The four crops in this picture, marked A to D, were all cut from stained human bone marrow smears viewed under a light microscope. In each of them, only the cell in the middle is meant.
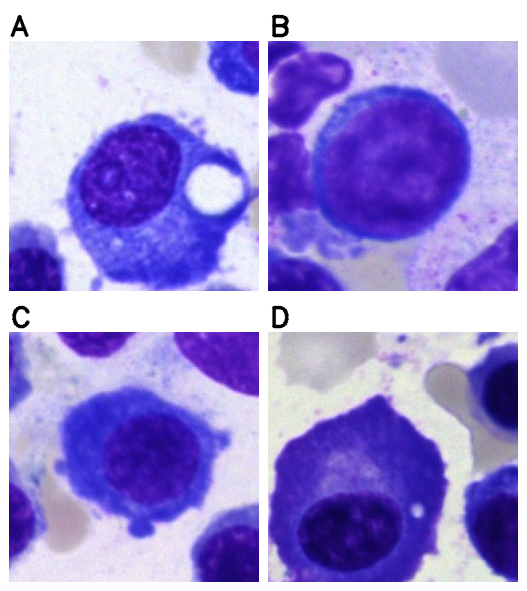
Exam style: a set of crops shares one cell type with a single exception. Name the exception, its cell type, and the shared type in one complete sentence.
All the crops show plasma cells, barring crop B, which is a proerythroblast.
